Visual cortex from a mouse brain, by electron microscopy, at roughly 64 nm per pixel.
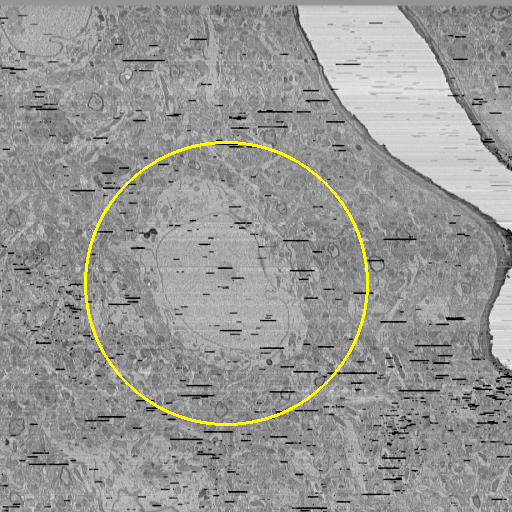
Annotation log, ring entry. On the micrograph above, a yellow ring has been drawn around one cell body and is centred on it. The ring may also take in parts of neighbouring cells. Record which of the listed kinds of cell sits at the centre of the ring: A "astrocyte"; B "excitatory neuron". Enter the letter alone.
B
